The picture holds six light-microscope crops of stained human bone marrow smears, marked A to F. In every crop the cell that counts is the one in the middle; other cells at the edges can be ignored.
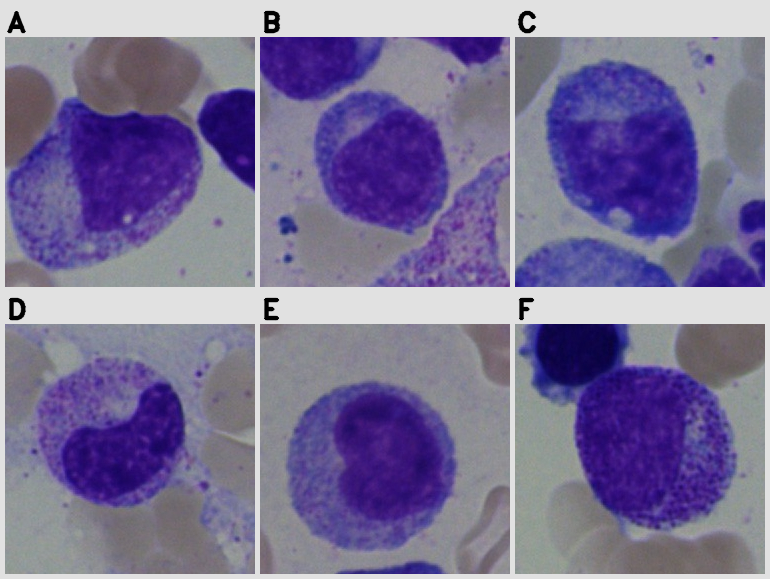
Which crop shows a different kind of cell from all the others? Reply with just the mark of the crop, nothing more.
D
